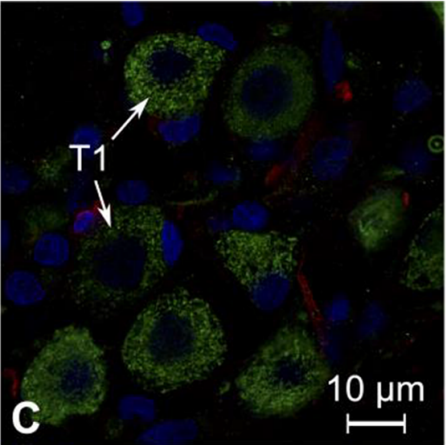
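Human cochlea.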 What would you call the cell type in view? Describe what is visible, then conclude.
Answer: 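Spiral ganglion cells. Large round cell bodies with a wide rim of granular cytoplasm. Small elongated nuclei lie between the large cells.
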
